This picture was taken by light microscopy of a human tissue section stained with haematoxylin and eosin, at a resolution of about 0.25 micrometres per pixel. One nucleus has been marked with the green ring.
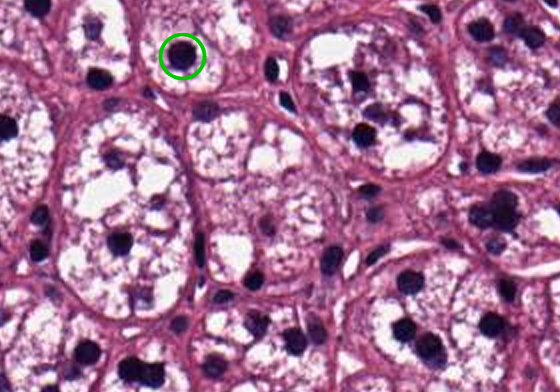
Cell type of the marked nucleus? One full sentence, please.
The marked nucleus forms part of an adrenal cortical cell.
